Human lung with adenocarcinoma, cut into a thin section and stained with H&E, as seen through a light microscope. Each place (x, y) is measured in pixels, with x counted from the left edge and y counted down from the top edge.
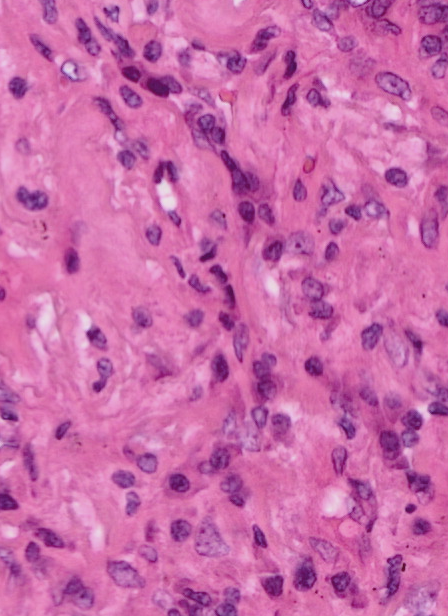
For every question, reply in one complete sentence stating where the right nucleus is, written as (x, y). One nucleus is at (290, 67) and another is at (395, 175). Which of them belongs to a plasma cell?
Of the pair, the nucleus positioned at (290, 67) is that of a plasma cell.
